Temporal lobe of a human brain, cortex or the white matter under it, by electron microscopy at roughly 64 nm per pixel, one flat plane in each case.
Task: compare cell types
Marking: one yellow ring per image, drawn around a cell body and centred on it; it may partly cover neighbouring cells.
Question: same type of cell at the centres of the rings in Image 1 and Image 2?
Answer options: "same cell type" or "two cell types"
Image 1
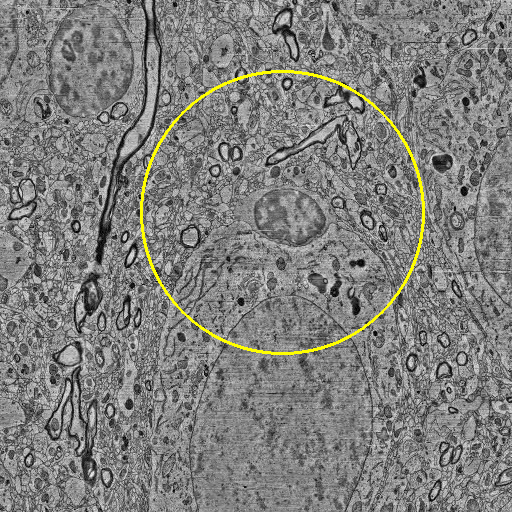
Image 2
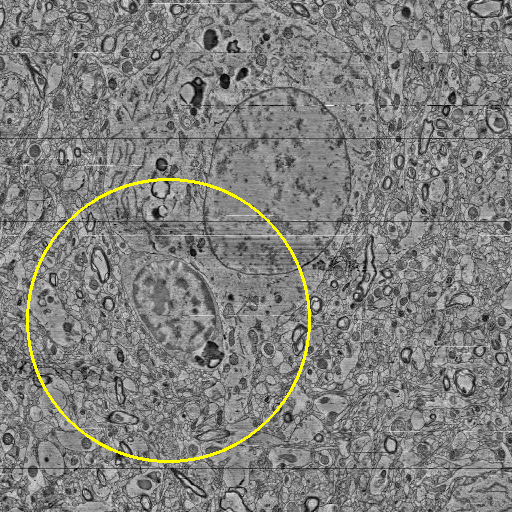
same cell type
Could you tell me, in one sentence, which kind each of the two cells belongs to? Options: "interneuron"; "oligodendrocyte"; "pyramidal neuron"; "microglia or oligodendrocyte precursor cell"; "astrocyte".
Both pictures show an oligodendrocyte at the centre of the ring.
